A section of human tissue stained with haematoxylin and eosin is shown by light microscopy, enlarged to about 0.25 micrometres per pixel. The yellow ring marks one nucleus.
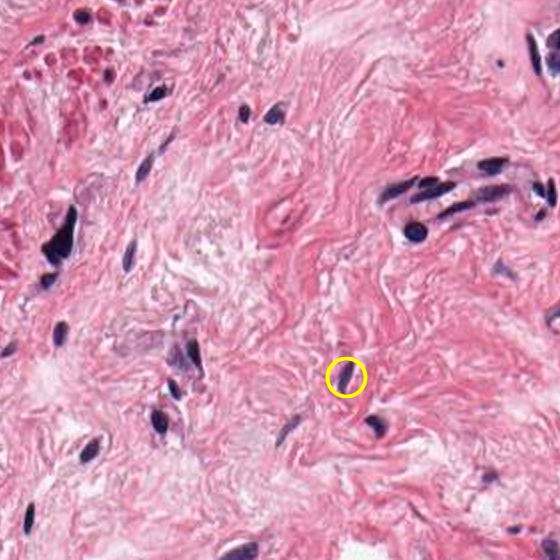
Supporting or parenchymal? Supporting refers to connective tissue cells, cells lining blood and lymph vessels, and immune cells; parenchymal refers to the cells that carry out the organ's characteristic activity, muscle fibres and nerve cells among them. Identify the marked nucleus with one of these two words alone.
supporting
